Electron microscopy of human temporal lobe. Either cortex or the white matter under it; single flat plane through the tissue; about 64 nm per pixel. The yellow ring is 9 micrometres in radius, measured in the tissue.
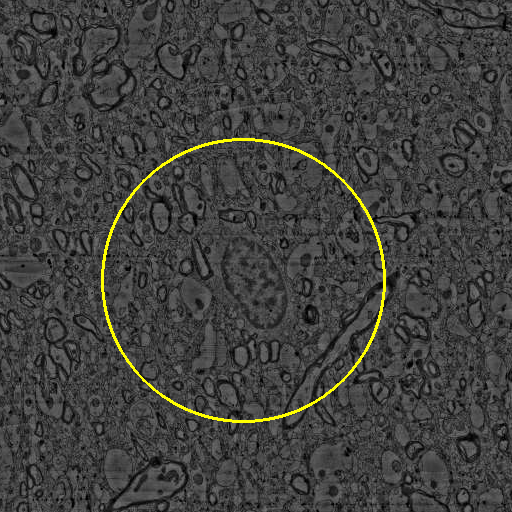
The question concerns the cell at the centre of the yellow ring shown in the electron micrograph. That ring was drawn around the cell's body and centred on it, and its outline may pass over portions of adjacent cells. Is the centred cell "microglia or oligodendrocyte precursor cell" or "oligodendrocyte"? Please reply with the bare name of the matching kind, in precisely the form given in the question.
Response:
oligodendrocyte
